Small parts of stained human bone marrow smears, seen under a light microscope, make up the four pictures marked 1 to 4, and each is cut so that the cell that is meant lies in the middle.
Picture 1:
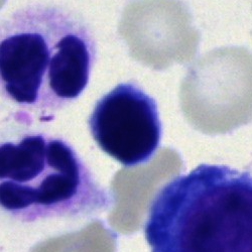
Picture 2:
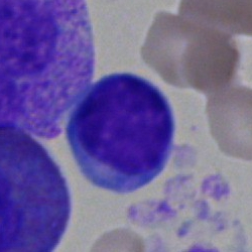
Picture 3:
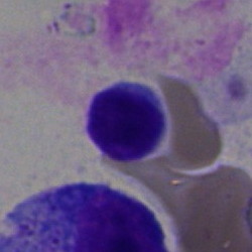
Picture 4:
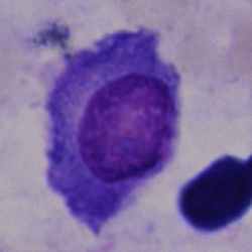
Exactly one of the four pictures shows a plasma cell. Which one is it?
4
